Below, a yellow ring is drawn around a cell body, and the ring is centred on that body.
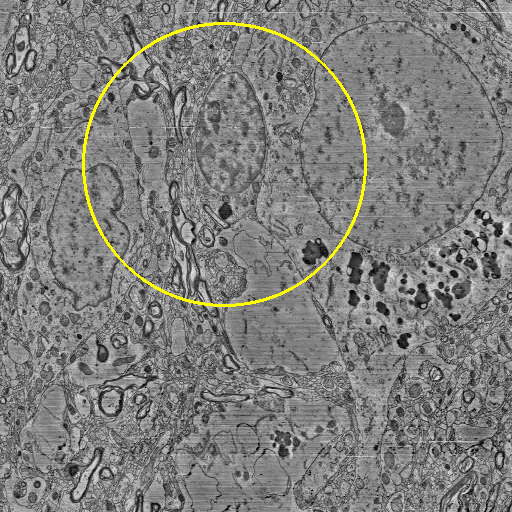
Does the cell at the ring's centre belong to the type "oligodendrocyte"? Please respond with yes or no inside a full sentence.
Yes, the centred cell inside the ring shown in the picture is of this type.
